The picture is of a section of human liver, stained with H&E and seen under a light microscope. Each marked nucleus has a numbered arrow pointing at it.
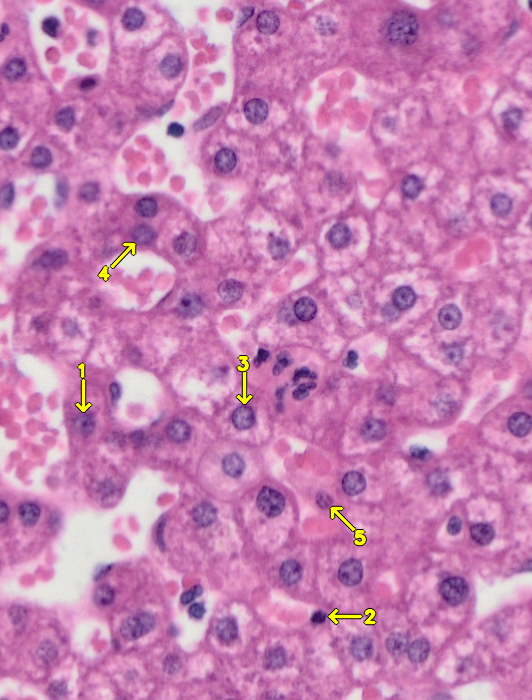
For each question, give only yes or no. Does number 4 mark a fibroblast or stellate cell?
no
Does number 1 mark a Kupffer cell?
no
